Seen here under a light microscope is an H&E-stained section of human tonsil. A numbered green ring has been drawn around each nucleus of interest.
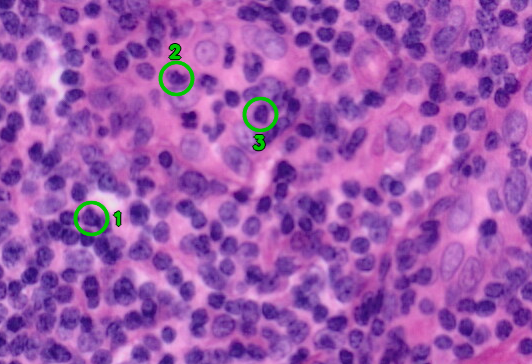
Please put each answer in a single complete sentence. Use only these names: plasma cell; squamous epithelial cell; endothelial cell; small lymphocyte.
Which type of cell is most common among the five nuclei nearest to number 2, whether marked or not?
Of the five nuclei nearest to number 2, most belong to endothelial cells.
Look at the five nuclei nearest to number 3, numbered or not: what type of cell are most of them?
Around number 3, most of the five nearest nuclei are those of endothelial cells.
